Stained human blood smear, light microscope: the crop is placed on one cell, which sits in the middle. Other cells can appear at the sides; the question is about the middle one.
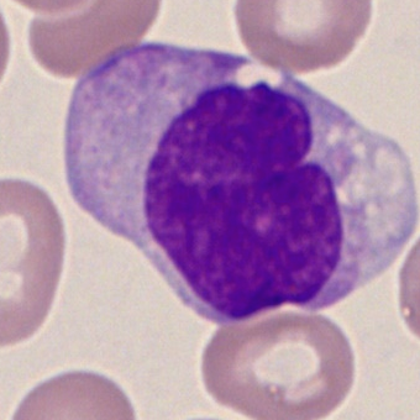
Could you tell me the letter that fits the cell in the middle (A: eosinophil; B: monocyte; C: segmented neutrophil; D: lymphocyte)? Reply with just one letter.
B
